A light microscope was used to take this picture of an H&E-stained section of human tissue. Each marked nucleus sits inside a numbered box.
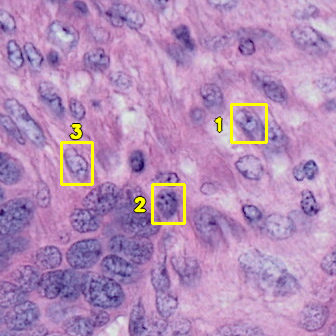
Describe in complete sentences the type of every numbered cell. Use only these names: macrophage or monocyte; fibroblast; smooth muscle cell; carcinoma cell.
Cells 1 and 3 are fibroblasts. Cell 2 is a macrophage or monocyte.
